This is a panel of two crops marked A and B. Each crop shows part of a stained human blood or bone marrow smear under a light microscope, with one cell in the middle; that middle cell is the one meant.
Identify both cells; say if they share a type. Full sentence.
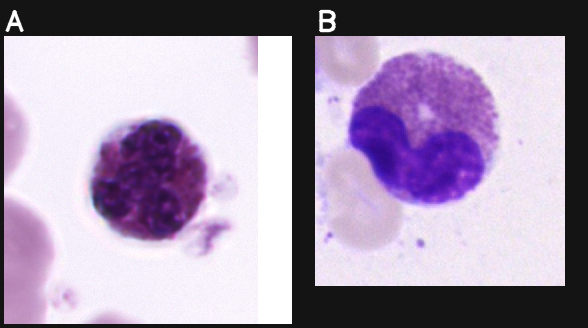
Yes, the two central cells, one per crop, are eosinophils.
